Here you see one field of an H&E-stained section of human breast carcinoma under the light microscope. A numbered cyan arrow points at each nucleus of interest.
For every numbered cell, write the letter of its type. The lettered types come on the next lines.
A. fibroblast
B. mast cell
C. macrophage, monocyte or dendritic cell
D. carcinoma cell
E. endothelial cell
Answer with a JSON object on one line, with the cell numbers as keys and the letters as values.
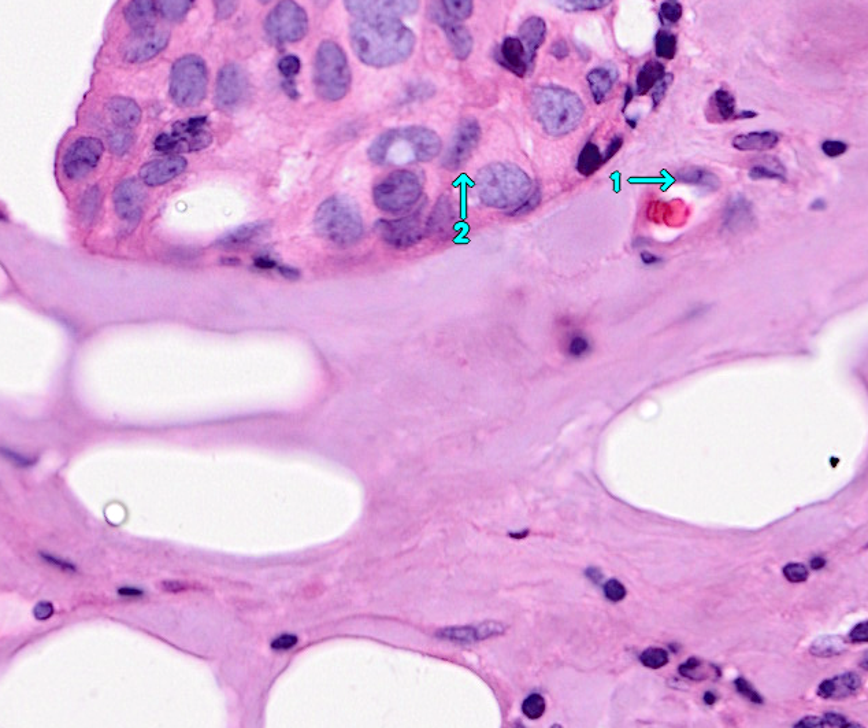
{"1": "E", "2": "D"}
